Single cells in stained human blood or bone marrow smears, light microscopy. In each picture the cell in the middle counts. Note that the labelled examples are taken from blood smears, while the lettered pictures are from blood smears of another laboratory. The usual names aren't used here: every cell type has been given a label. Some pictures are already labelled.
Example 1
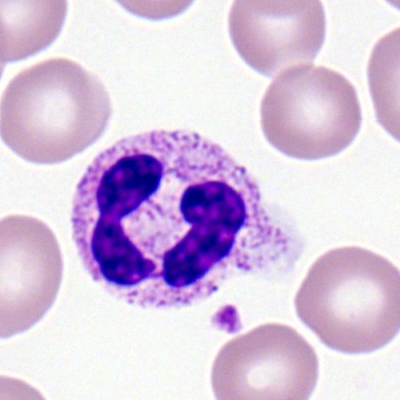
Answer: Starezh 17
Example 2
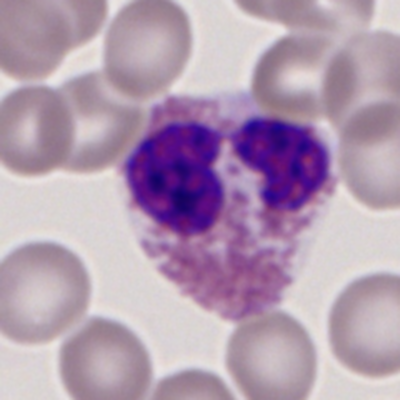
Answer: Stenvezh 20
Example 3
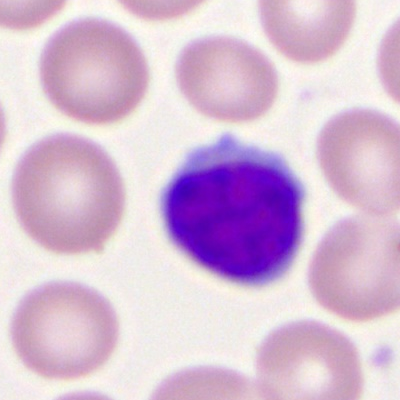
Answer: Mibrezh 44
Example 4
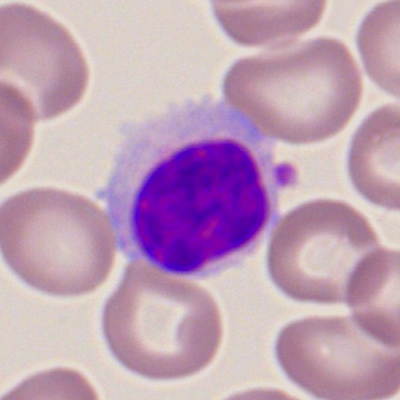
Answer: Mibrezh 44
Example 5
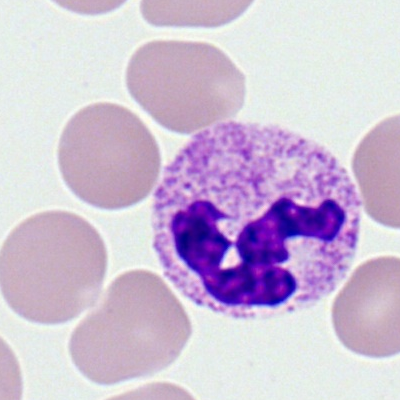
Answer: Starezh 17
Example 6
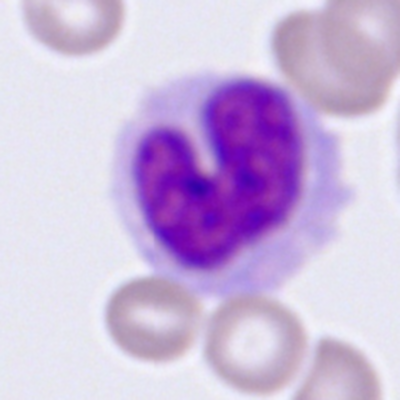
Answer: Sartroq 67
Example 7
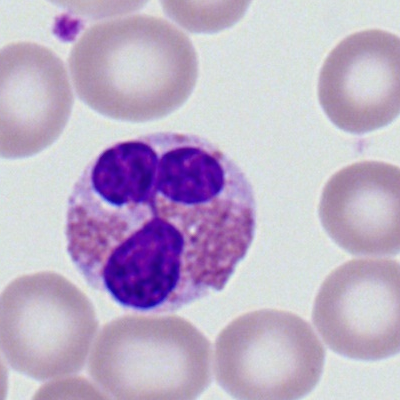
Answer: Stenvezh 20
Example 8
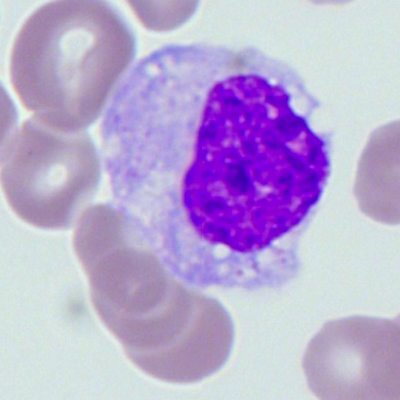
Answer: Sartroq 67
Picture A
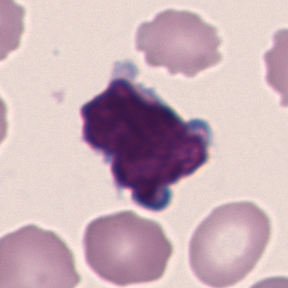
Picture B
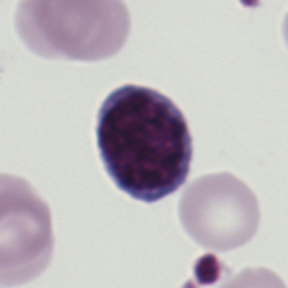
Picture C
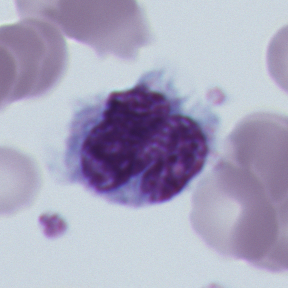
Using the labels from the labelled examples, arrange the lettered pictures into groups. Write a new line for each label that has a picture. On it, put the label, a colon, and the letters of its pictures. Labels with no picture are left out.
Mibrezh 44: A, B
Sartroq 67: C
